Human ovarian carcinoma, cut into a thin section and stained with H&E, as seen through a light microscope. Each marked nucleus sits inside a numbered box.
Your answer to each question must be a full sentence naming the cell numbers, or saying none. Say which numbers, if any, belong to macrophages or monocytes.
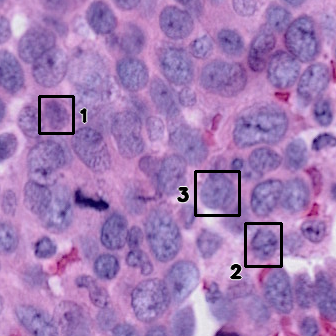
Mind that only cell 2 is a macrophage or monocyte, none of the rest.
